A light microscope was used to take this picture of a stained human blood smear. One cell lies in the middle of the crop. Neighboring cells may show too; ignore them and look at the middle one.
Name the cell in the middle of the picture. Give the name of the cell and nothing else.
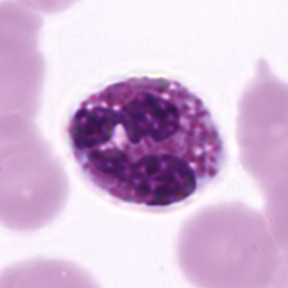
eosinophil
